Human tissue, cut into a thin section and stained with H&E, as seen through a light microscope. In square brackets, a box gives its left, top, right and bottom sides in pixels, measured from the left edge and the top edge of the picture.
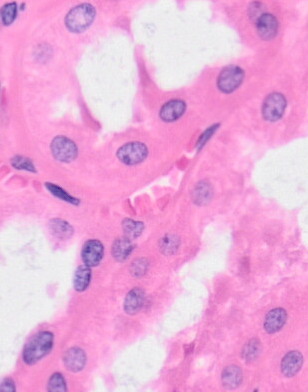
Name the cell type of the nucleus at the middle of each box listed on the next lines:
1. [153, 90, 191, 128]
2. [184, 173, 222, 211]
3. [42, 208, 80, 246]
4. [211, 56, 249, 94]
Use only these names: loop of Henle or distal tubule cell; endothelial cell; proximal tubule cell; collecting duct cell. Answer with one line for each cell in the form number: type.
1: proximal tubule cell
2: proximal tubule cell
3: loop of Henle or distal tubule cell
4: proximal tubule cell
